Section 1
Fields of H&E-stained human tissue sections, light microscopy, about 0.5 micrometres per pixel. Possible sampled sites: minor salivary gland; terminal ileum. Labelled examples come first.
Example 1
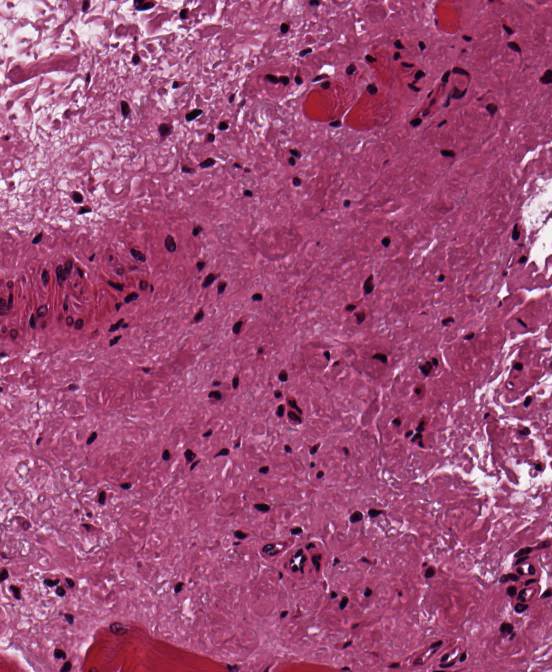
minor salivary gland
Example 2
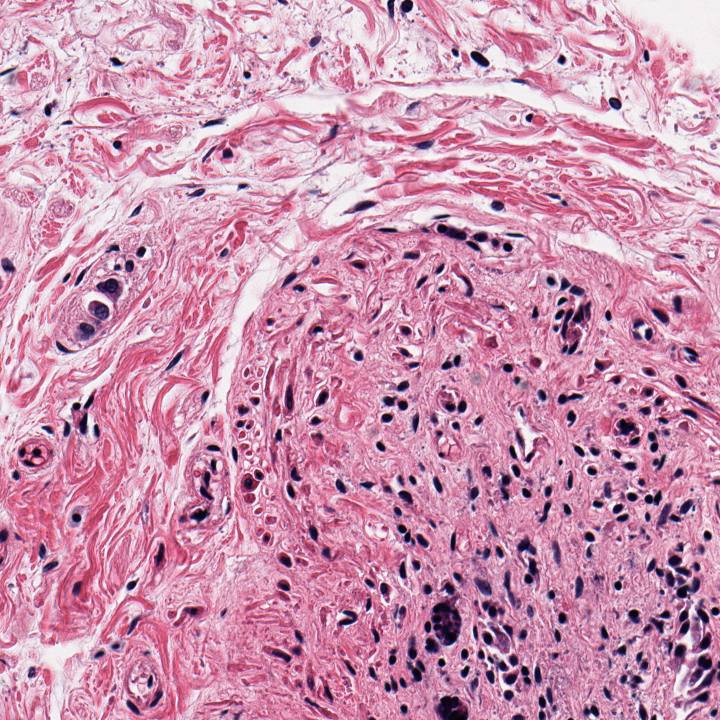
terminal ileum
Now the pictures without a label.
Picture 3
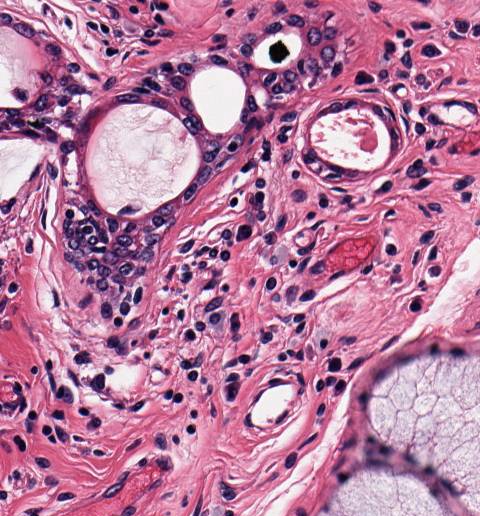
minor salivary gland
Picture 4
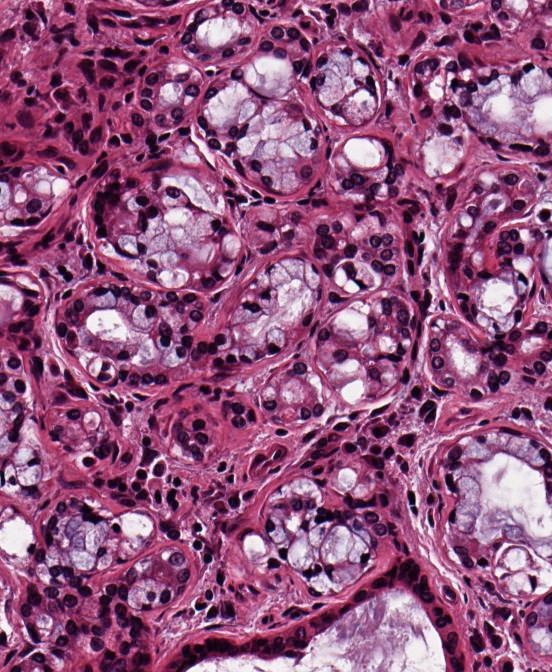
minor salivary gland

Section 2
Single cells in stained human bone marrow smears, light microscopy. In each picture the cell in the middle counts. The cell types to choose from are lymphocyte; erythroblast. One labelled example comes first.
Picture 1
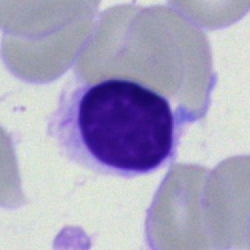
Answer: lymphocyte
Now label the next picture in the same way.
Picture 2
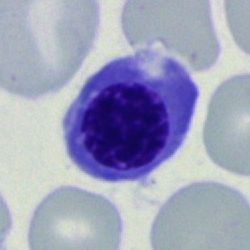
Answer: erythroblast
